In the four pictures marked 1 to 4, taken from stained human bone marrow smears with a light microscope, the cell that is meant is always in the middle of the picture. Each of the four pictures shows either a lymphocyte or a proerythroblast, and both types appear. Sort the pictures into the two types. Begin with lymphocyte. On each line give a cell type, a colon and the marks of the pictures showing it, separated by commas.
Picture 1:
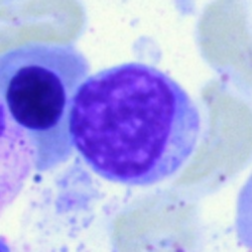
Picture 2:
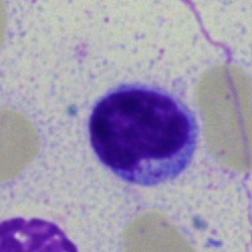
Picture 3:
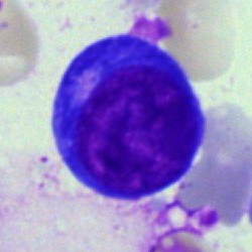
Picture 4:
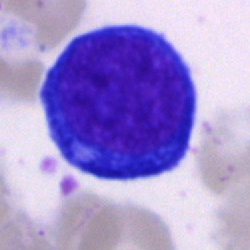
lymphocyte: 1, 2
proerythroblast: 3, 4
